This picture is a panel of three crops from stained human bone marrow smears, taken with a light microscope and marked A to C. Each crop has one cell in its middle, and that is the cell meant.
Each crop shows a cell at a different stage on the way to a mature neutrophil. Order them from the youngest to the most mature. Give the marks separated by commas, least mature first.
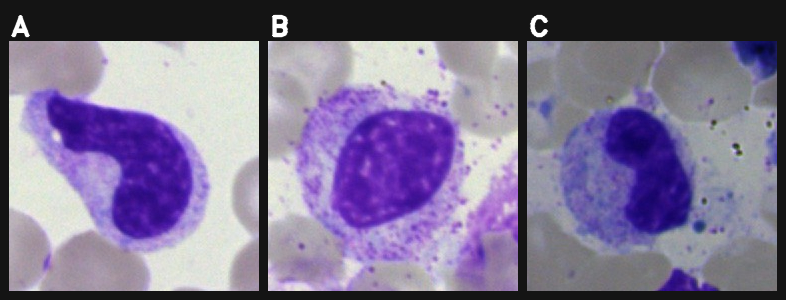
B, C, A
